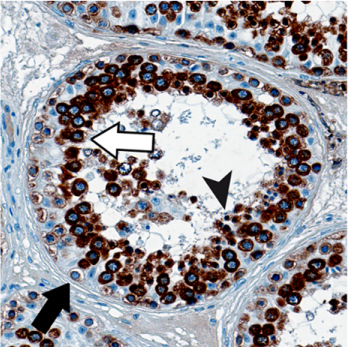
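A seminiferous tubule is lined by several layers of germ cells whose cytoplasm stains dark brown, around an open lumen. Spermatogonia lie at the basal edge, large round spermatocytes with blue nuclei form the middle layers, and smaller spermatids lie toward the lumen.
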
